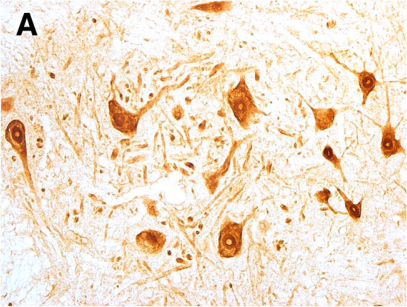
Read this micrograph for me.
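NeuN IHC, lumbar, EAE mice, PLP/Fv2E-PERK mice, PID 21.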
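Scattered across a fine brown meshwork of fibres lie large brown cell bodies, many polygonal or multipolar, with several thick processes tapering away from them. Their nuclei are large, round and paler than the cytoplasm, each with a dark nucleolus. Smaller brown profiles lie between them. These large multipolar cells are lower motor neurons of the spinal cord grey matter.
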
